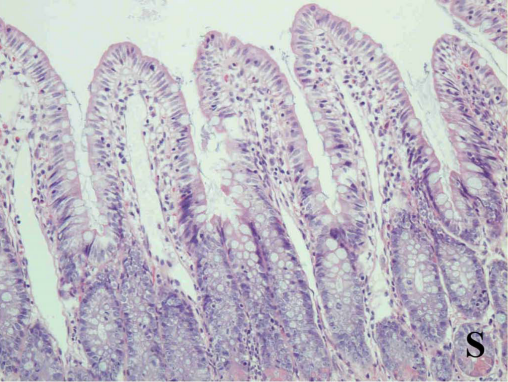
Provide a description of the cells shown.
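Slender, regular villi of the intestinal mucosa are lined by a single layer of tall columnar epithelial cells with basal purple nuclei and interspersed pale, rounded goblet cells. Each villus has a narrow core of pink loose connective tissue with scattered small nuclei, and crypts with abundant goblet cells lie at the villus bases.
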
